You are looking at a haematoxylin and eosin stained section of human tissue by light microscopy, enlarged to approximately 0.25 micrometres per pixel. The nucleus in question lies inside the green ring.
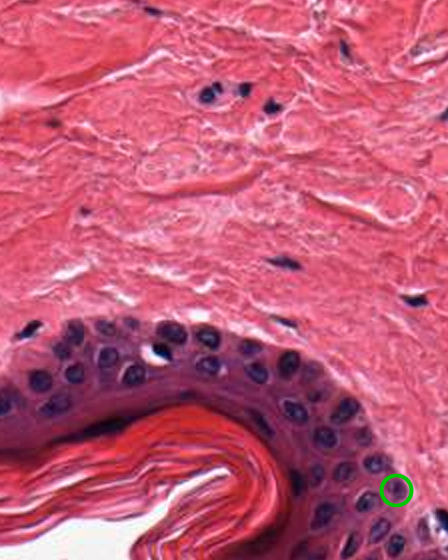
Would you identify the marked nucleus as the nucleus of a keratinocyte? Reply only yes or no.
yes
